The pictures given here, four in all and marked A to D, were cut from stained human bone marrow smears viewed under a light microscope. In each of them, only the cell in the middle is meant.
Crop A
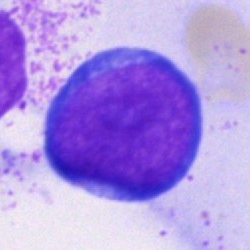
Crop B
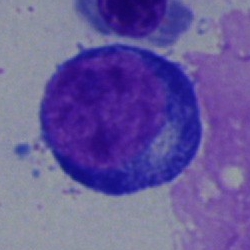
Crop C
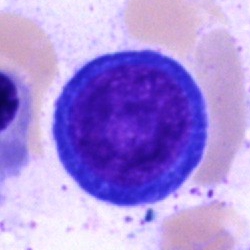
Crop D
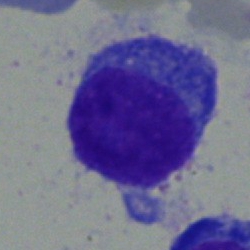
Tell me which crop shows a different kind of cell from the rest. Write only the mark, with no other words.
D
